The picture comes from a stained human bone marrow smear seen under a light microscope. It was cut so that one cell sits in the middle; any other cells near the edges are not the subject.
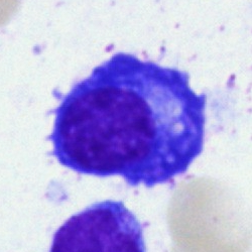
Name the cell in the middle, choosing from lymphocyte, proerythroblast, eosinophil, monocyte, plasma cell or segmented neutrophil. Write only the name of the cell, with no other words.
plasma cell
